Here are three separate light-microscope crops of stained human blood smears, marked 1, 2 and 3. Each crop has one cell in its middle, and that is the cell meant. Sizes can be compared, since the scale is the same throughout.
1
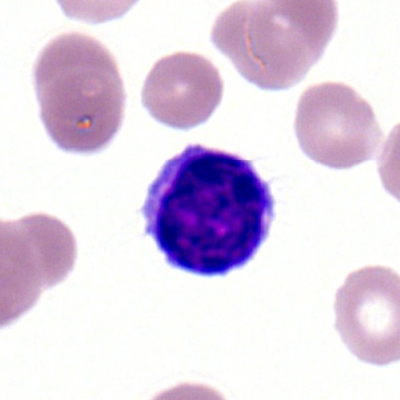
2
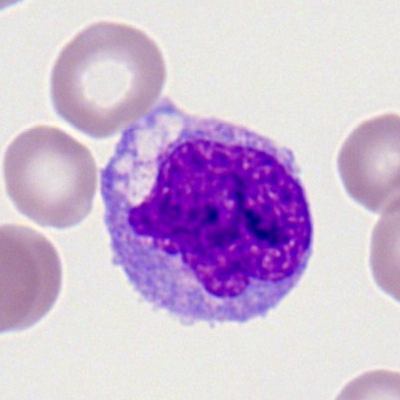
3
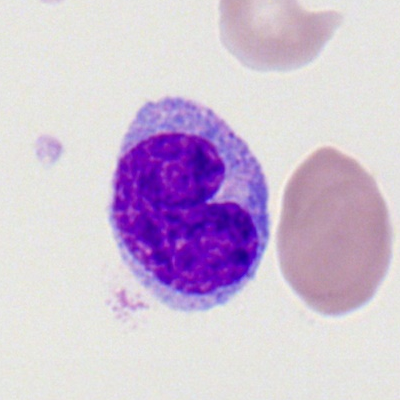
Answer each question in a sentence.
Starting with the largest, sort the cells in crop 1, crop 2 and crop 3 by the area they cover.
Largest first: 2, 3, 1.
